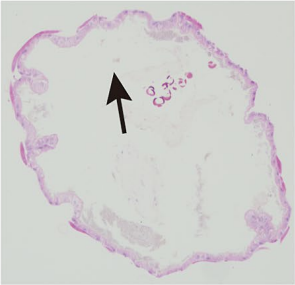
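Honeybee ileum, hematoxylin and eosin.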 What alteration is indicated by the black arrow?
dilation of the intestinal lumen and disruption of villous structures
